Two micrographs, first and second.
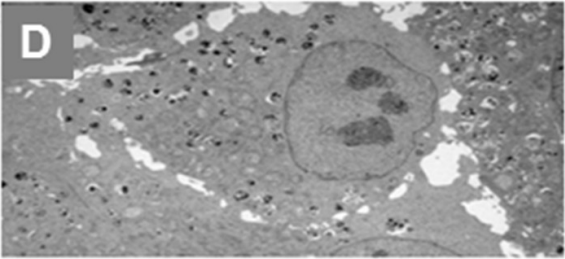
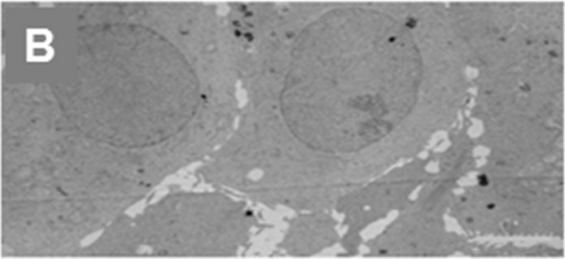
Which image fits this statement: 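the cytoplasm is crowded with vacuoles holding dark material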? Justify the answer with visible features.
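The first image. First image: the cytoplasm around the nucleus is packed with many small vacuoles holding dark contents. Second image: the cytoplasm is fairly even and grey, with only scattered small dark dots.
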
